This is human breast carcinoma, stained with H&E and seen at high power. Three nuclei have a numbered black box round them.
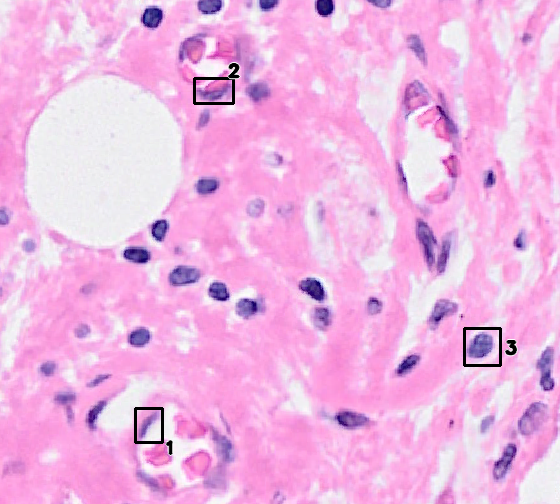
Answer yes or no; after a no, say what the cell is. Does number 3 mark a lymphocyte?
Yes.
